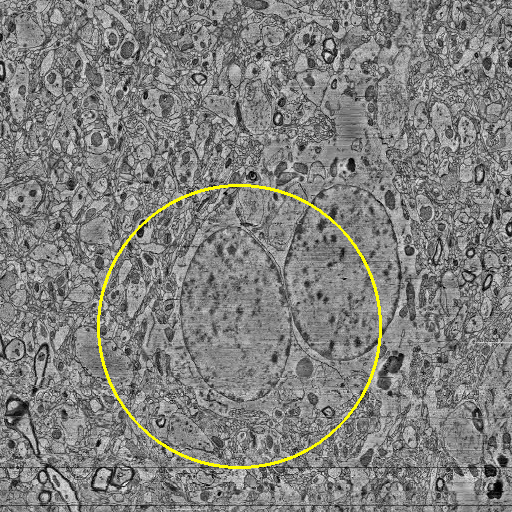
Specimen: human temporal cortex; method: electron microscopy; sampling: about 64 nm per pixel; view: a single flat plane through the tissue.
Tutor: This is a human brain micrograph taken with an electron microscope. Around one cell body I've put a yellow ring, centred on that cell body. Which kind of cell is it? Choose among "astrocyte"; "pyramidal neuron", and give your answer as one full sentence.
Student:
Going by your list, the cell centred in the yellow ring is an astrocyte.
